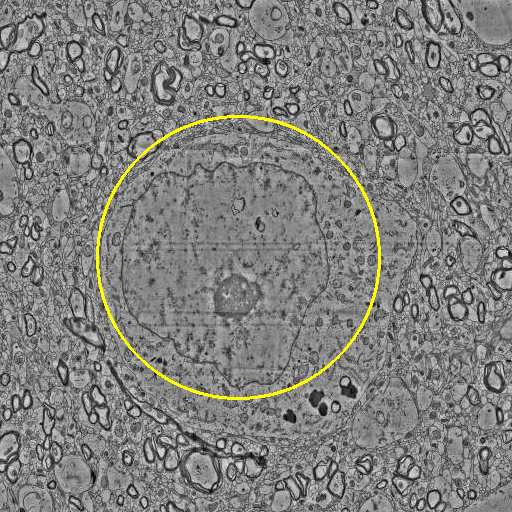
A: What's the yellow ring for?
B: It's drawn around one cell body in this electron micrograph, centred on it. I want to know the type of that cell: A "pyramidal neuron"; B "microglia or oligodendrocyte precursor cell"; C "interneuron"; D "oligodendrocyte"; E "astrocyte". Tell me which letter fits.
A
